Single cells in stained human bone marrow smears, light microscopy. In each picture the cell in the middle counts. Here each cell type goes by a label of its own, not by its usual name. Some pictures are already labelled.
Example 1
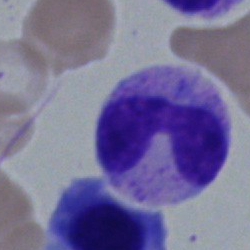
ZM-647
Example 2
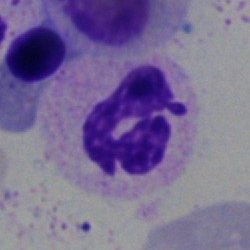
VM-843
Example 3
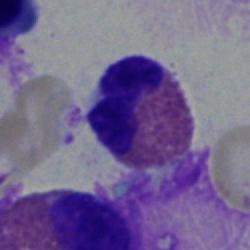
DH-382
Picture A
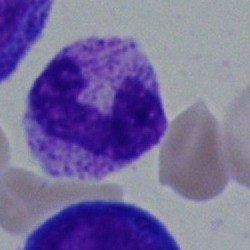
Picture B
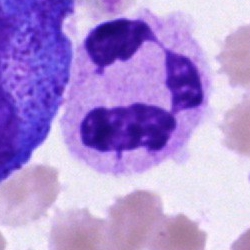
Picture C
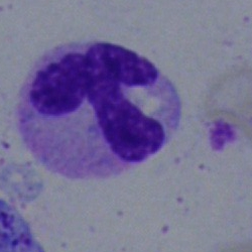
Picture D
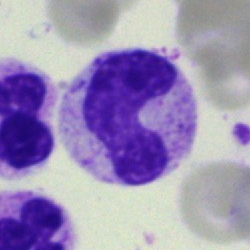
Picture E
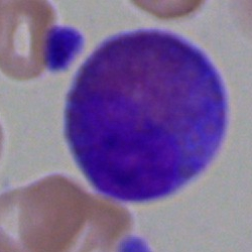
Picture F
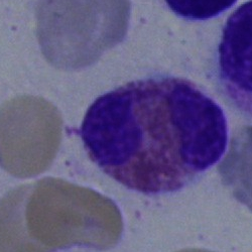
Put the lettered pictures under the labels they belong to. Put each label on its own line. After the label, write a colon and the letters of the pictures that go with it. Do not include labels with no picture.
ZM-647: A, D
VM-843: B, C
DH-382: E, F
